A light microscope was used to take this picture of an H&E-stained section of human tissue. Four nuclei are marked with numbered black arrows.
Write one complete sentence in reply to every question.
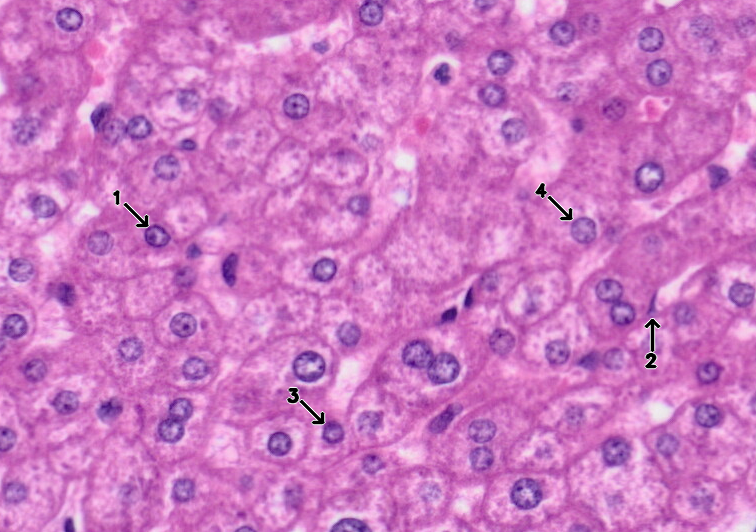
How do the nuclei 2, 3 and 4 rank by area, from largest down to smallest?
By area, largest first, they run 4, 3, 2.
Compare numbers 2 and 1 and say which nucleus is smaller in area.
It is nucleus 2; nucleus 1 has about 3 times its area.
